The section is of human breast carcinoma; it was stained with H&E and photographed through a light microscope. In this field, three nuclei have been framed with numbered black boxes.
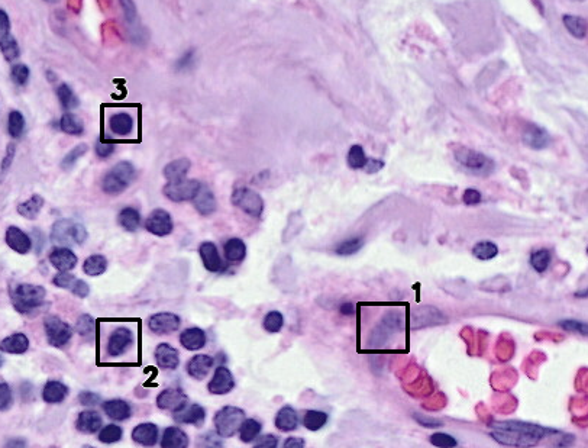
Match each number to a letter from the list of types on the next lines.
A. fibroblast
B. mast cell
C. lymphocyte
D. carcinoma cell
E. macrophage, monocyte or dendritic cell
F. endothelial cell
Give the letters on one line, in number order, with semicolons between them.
F; C; C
